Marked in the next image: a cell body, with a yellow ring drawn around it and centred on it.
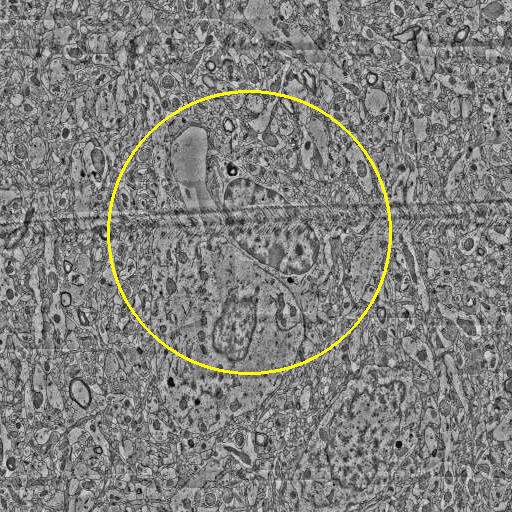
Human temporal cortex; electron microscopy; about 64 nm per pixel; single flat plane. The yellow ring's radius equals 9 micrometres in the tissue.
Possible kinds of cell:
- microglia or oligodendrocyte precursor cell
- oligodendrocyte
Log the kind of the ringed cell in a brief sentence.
The ringed cell body is that of a microglial cell or oligodendrocyte precursor cell.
